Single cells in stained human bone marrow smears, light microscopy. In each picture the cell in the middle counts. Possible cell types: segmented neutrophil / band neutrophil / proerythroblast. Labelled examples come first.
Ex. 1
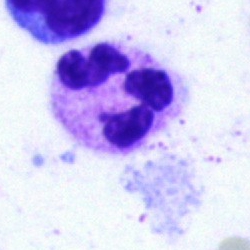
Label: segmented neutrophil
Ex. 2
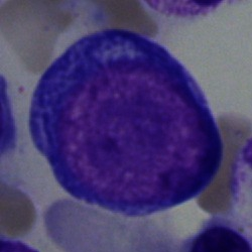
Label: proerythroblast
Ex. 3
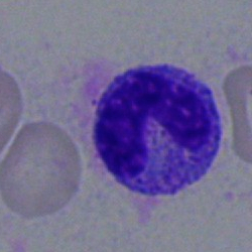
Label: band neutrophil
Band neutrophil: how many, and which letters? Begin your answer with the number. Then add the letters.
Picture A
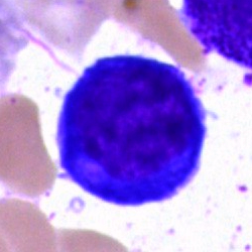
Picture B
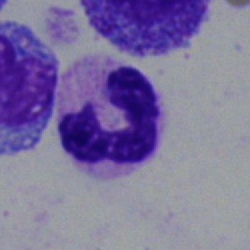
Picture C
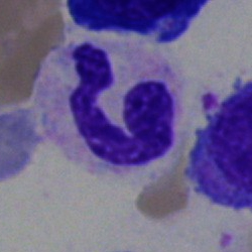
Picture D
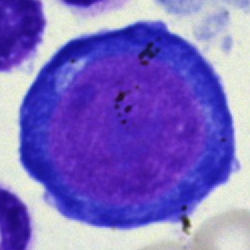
0, none of them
